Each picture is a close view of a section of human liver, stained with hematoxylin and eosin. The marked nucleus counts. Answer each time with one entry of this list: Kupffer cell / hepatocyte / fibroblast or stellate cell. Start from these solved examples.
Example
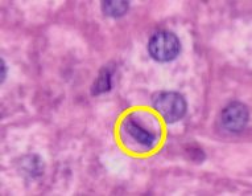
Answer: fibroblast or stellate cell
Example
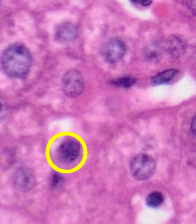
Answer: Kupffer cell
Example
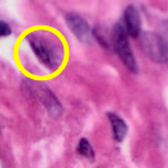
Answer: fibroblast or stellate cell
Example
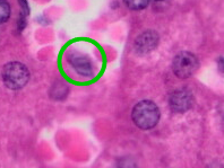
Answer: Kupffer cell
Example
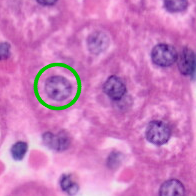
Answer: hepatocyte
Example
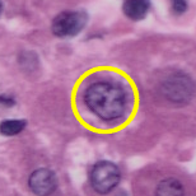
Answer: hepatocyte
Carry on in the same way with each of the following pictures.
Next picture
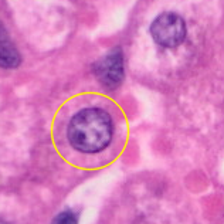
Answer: hepatocyte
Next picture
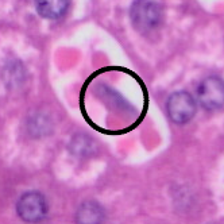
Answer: Kupffer cell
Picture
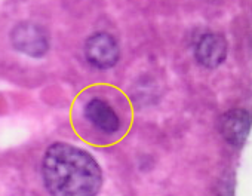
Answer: fibroblast or stellate cell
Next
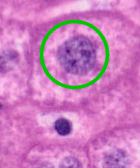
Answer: hepatocyte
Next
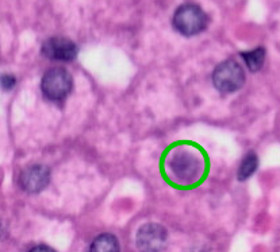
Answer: hepatocyte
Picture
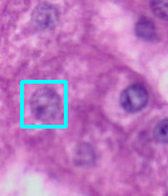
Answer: hepatocyte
